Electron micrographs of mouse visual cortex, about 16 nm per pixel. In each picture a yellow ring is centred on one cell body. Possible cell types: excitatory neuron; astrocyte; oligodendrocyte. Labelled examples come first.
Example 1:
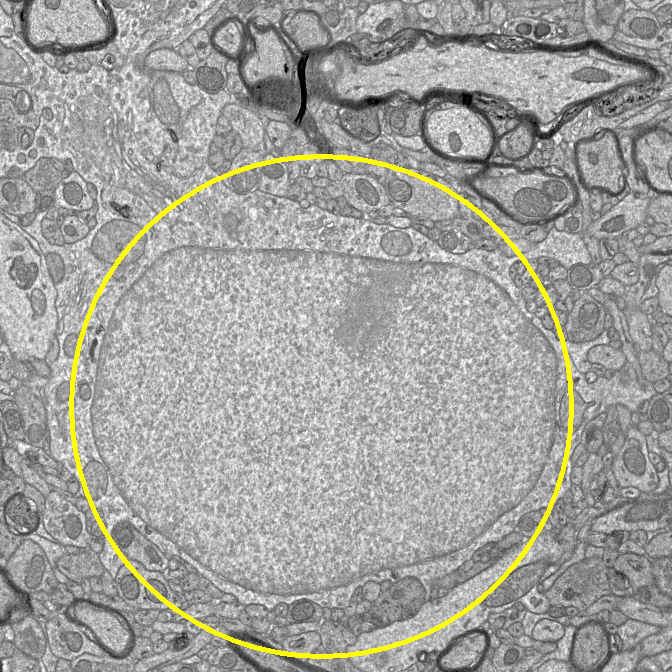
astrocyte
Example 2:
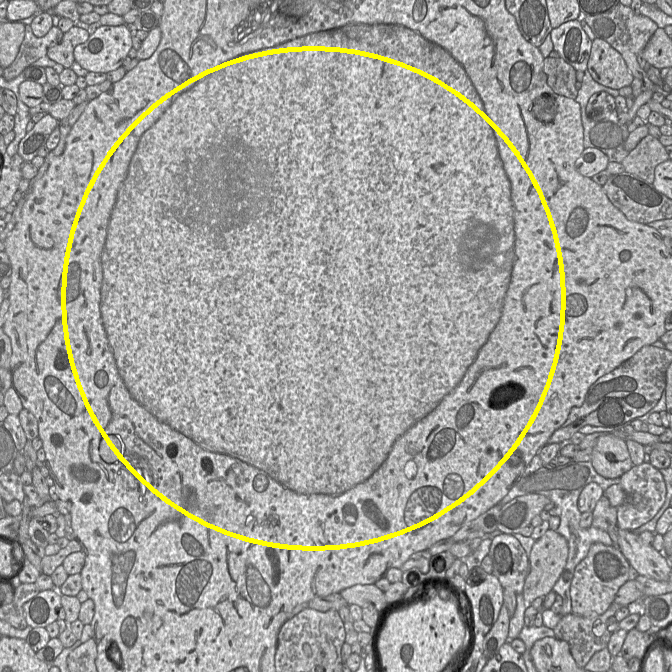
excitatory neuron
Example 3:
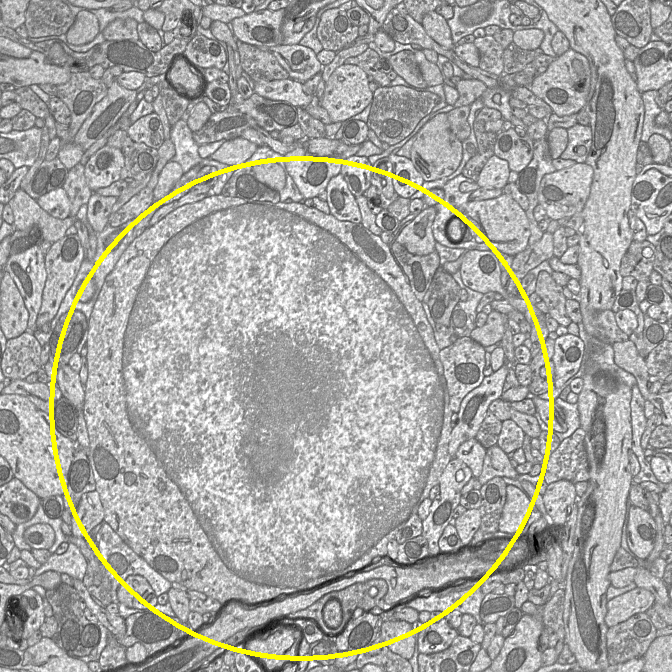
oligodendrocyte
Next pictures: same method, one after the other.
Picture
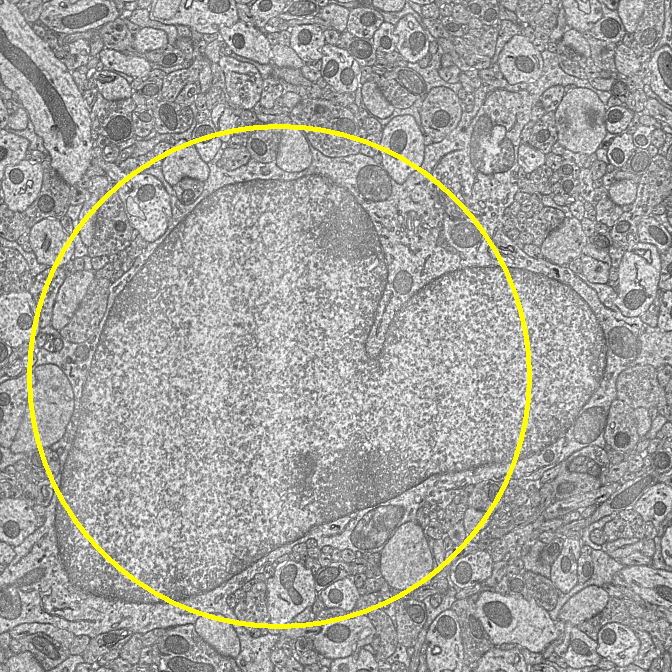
astrocyte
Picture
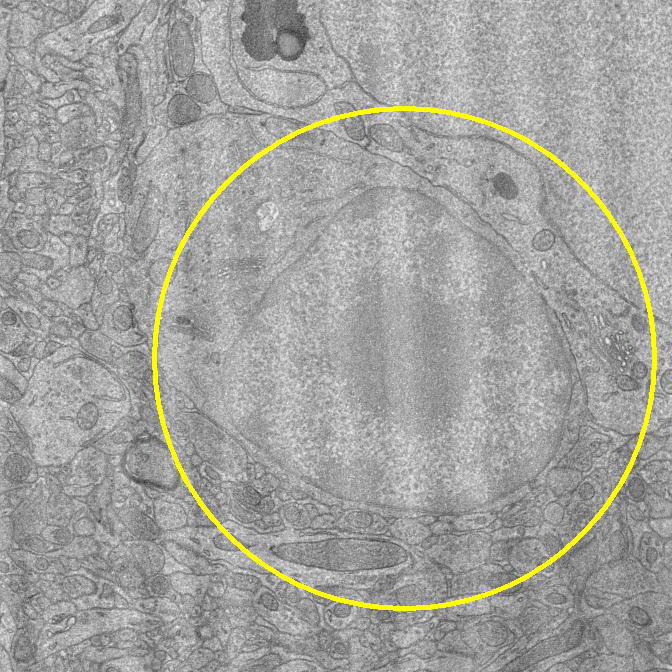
oligodendrocyte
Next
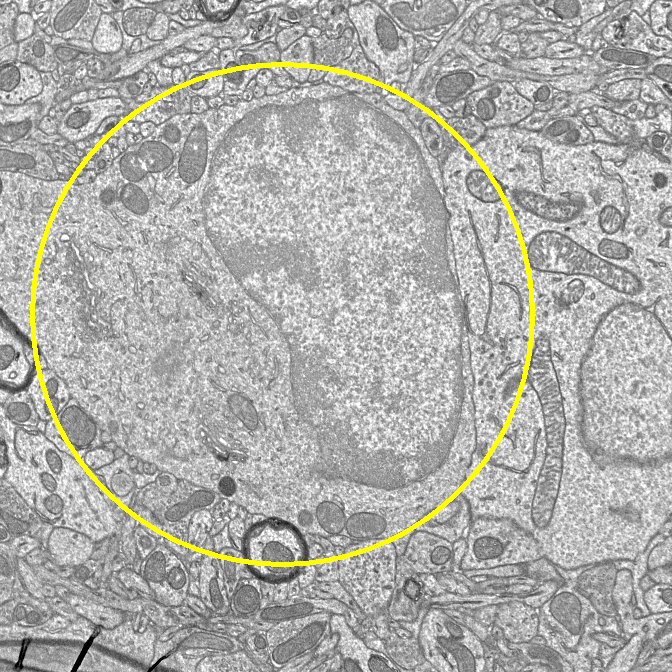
oligodendrocyte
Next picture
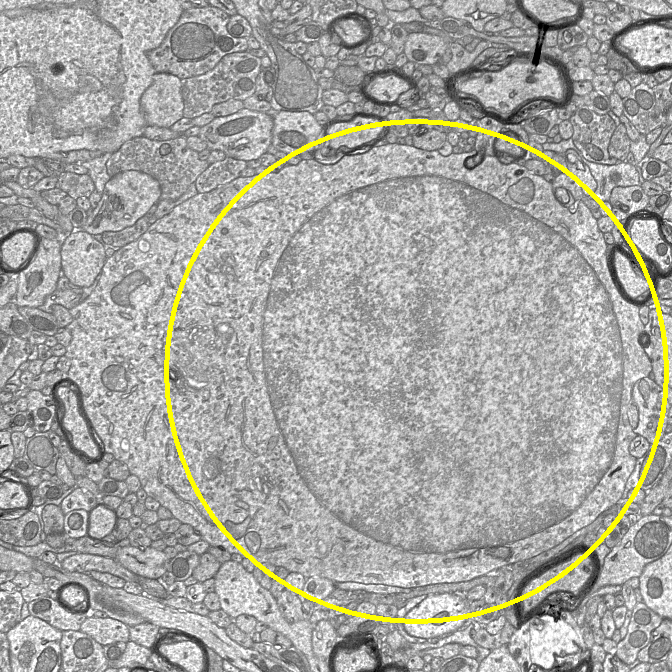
oligodendrocyte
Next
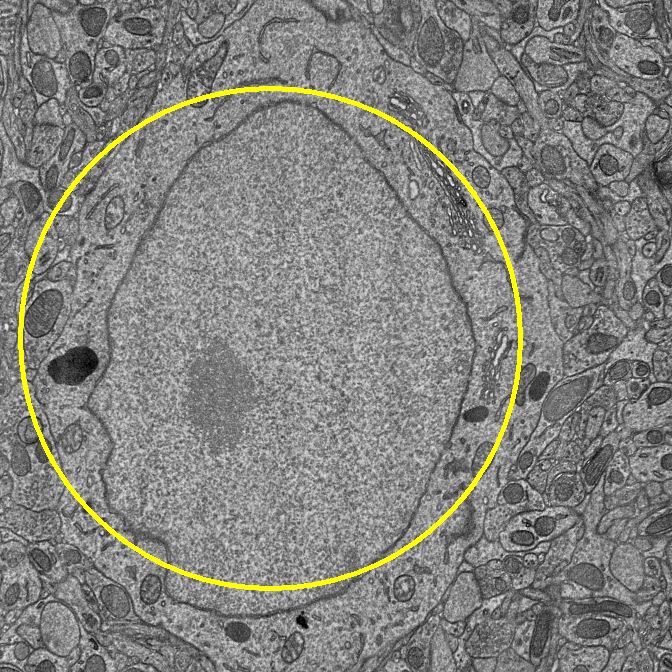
excitatory neuron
